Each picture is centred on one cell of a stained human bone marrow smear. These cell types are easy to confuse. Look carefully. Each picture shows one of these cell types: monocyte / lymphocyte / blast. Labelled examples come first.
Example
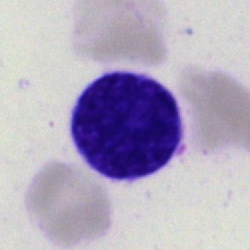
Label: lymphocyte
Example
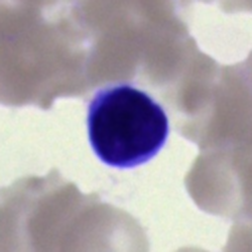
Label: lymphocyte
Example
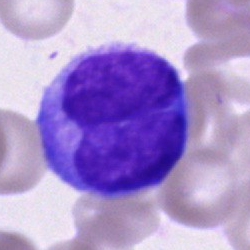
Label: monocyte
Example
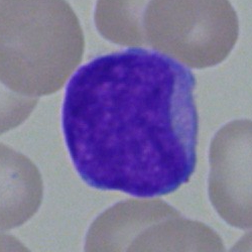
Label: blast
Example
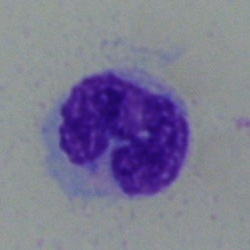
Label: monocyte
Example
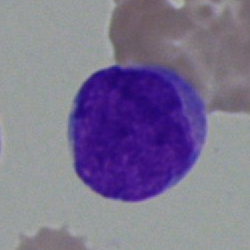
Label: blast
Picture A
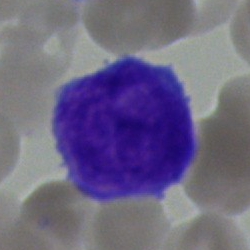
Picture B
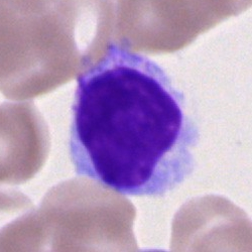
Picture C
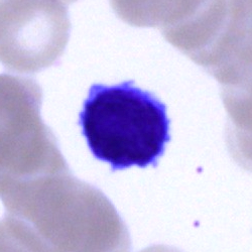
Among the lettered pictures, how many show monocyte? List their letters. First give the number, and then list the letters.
0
